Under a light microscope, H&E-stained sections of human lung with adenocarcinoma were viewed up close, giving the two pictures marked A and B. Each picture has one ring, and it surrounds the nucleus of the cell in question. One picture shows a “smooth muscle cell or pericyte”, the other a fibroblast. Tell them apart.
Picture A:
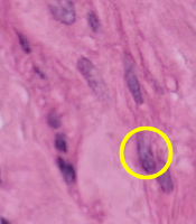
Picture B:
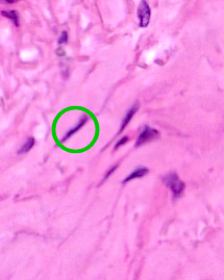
A: smooth muscle cell or pericyte
B: fibroblast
